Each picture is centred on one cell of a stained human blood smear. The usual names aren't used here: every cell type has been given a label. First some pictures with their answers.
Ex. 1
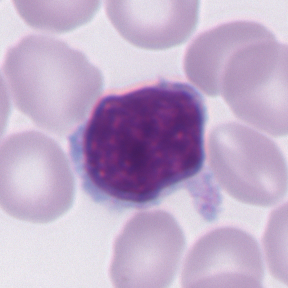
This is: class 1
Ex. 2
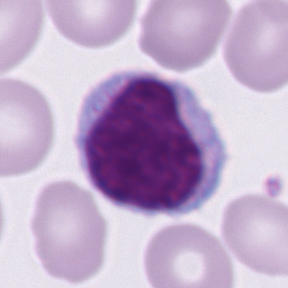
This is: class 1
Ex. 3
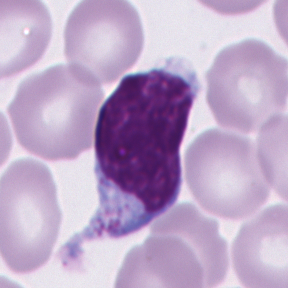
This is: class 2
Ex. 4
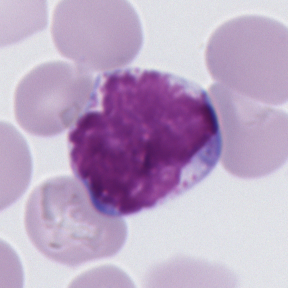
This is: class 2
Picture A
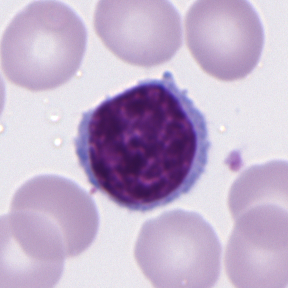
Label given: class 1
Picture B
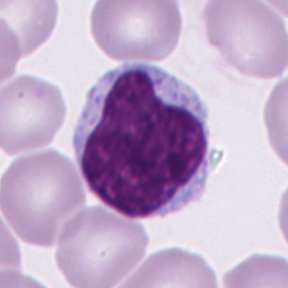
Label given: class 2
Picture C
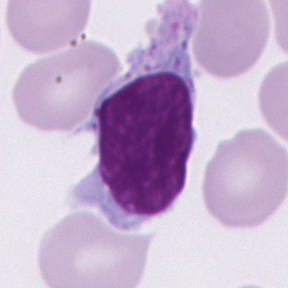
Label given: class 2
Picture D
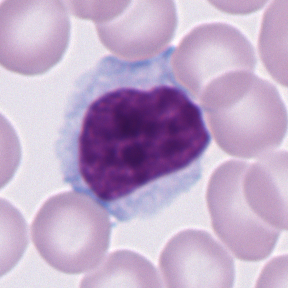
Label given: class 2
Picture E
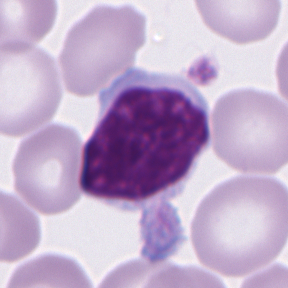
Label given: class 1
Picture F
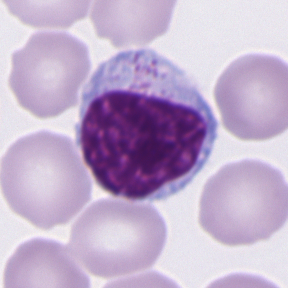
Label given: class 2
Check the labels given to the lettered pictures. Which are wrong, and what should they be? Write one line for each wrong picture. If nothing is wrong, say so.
B should be class 1, not class 2
D should be class 1, not class 2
